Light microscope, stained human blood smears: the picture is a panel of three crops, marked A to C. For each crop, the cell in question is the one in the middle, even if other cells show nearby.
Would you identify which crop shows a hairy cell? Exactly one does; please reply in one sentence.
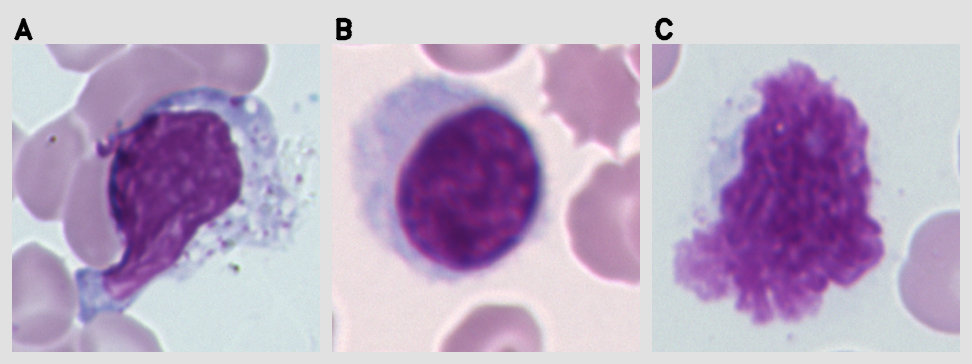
In this set, crop B is the one showing a hairy cell.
